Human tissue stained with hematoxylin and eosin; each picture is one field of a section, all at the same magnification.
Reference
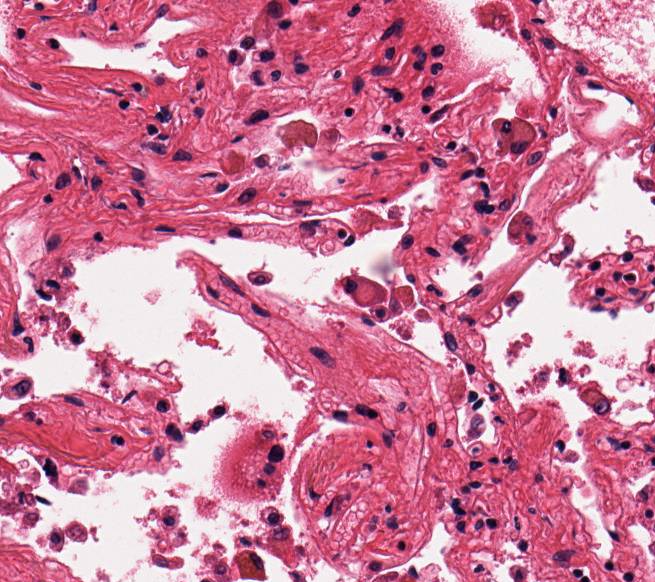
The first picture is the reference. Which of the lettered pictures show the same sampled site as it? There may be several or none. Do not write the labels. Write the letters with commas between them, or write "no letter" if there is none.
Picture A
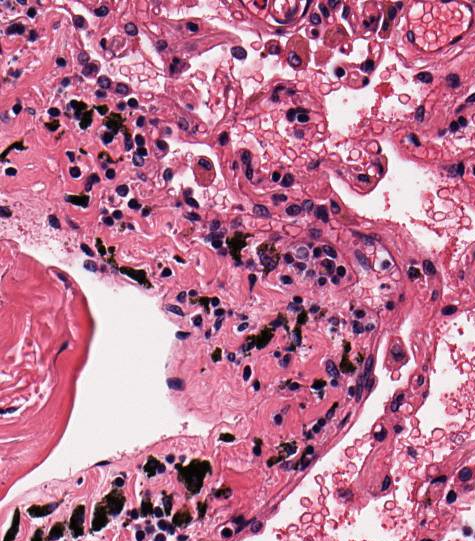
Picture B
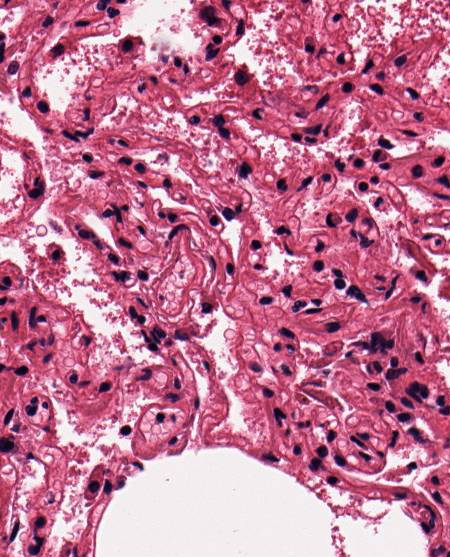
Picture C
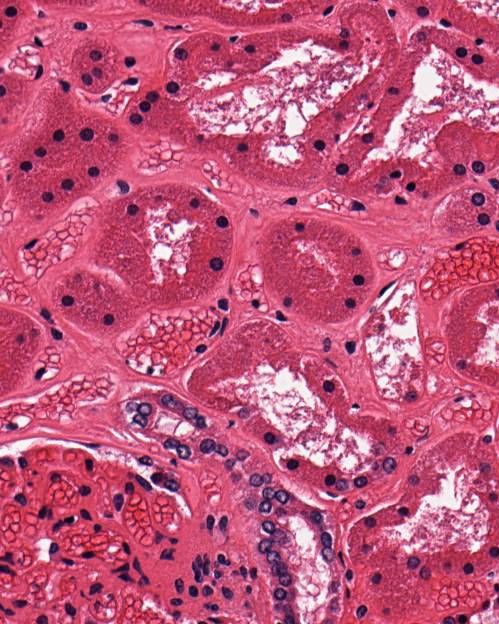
A, B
